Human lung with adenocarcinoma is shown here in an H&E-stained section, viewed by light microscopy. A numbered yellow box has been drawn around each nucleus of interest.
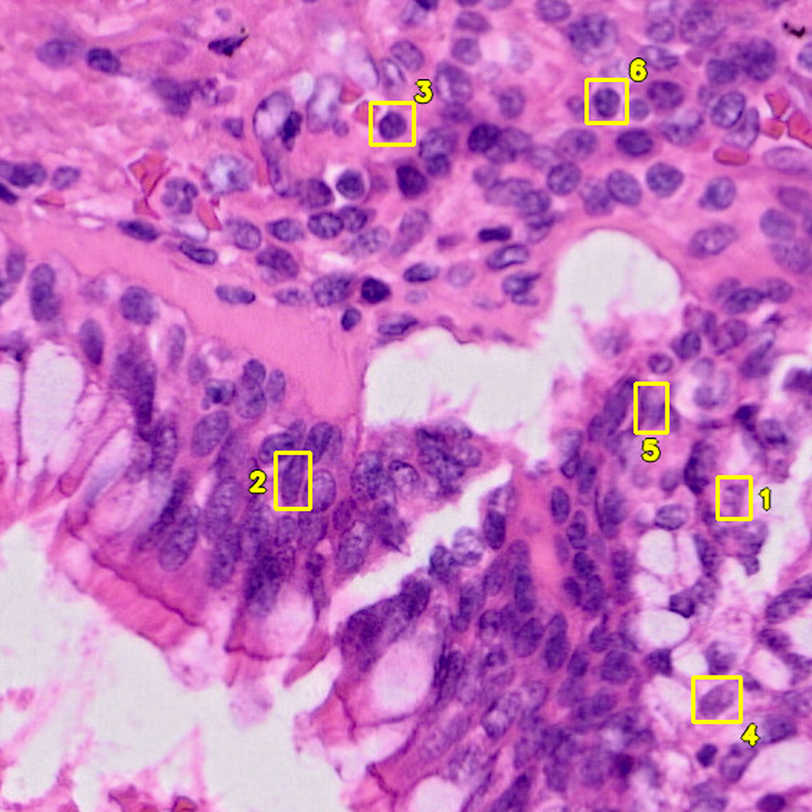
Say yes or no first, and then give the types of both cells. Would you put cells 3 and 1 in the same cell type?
No, the identities are a lymphocyte for cell 3 and a ciliated epithelial cell for cell 1.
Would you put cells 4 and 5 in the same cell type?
Yes, cells 4 and 5 both count as ciliated epithelial cells.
